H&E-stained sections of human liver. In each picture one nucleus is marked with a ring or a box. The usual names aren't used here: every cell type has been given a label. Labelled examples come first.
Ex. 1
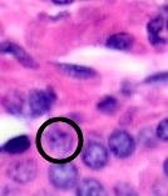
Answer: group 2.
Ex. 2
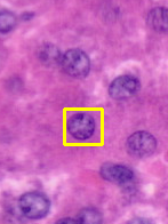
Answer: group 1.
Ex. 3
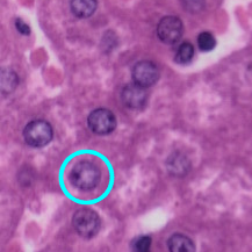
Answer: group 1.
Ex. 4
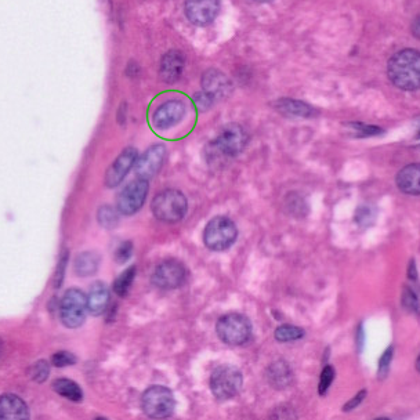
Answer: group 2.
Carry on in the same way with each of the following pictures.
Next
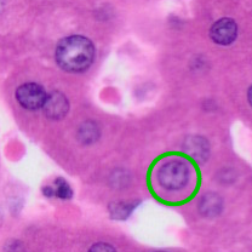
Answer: group 1.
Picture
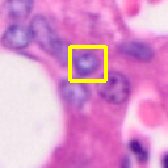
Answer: group 2.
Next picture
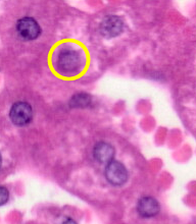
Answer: group 1.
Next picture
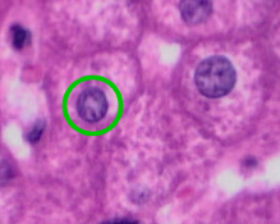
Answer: group 1.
